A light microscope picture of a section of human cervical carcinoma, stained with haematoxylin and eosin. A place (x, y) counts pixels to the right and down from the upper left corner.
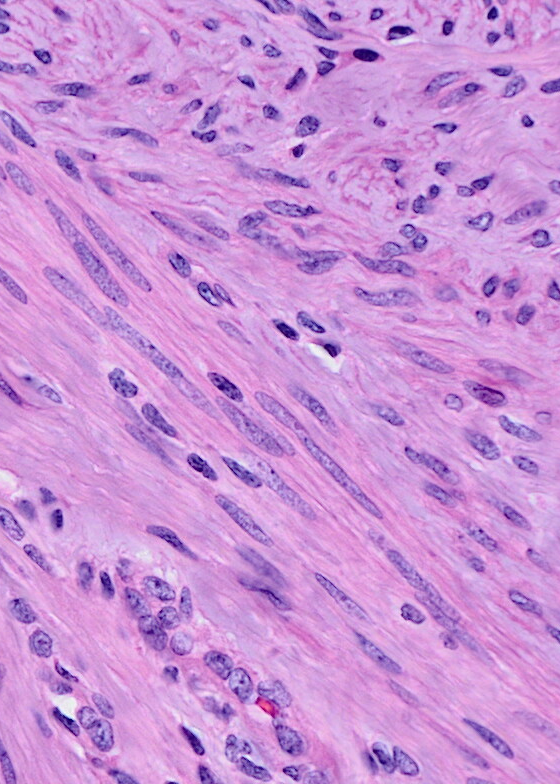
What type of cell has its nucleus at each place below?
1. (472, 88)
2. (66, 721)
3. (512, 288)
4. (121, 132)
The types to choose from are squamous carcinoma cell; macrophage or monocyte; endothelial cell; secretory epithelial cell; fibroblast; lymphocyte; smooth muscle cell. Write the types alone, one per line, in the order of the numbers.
smooth muscle cell
endothelial cell
smooth muscle cell
smooth muscle cell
